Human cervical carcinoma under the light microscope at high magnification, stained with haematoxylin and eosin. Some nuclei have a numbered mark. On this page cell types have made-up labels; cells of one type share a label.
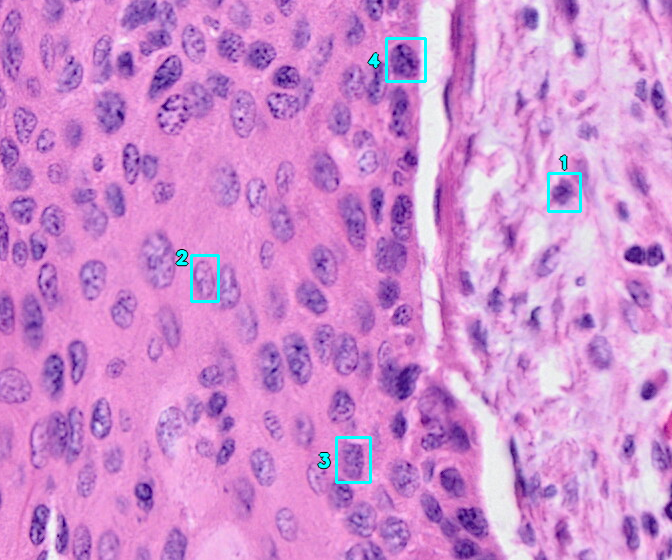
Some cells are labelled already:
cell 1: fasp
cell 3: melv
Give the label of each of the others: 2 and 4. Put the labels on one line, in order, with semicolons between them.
melv; melv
